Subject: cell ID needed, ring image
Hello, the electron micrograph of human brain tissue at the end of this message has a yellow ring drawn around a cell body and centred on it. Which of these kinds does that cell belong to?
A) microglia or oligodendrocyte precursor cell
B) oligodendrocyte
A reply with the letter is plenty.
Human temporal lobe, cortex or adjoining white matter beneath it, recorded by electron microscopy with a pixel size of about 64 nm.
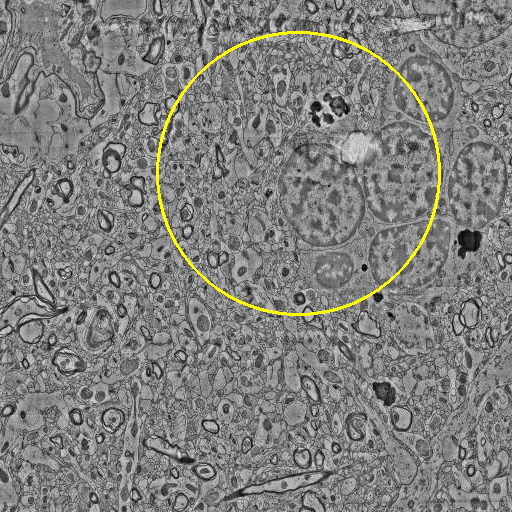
B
